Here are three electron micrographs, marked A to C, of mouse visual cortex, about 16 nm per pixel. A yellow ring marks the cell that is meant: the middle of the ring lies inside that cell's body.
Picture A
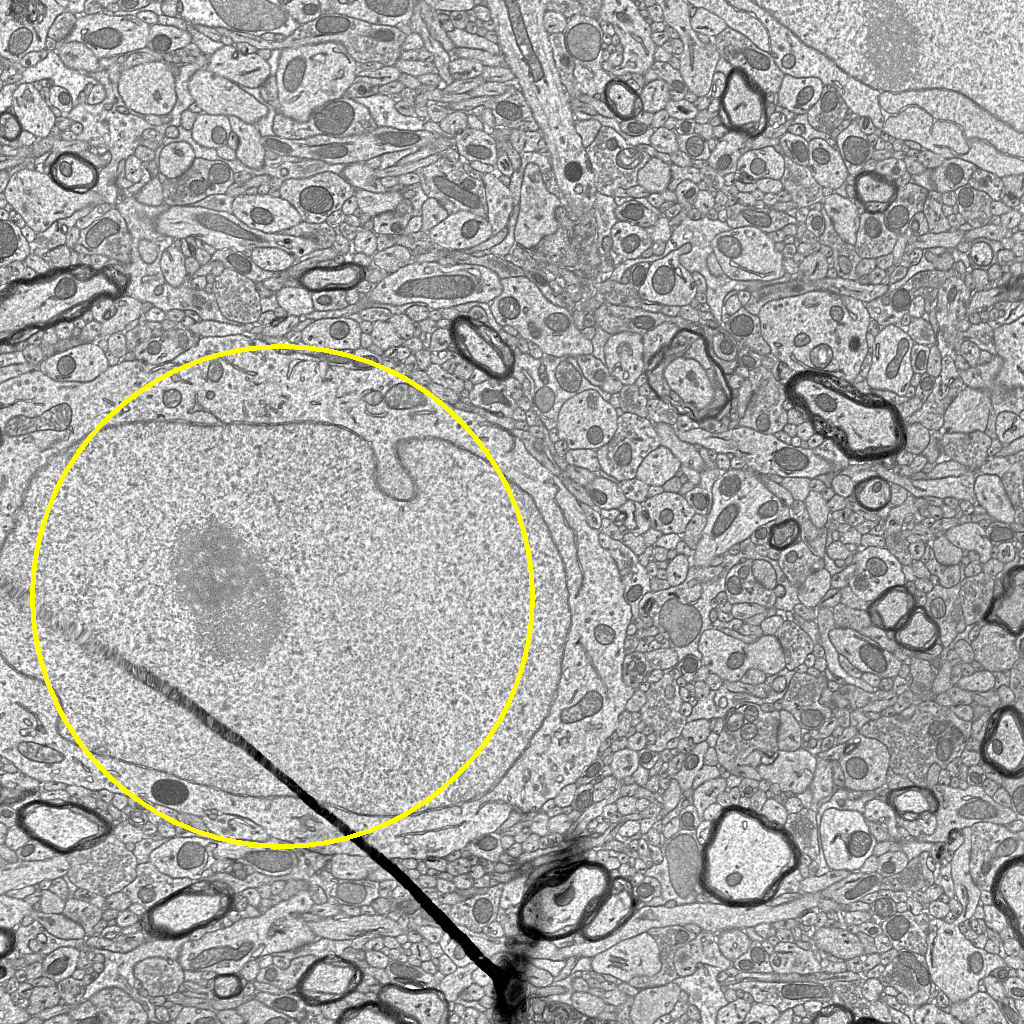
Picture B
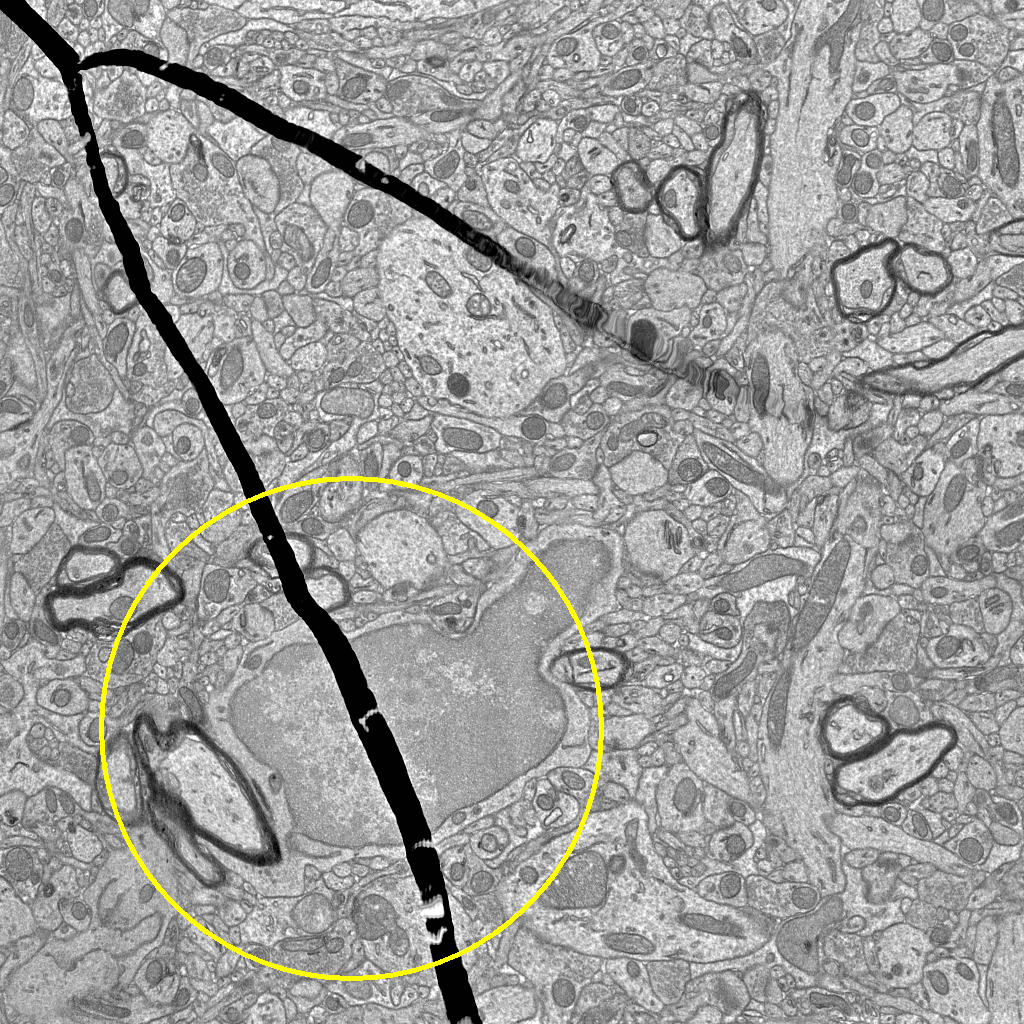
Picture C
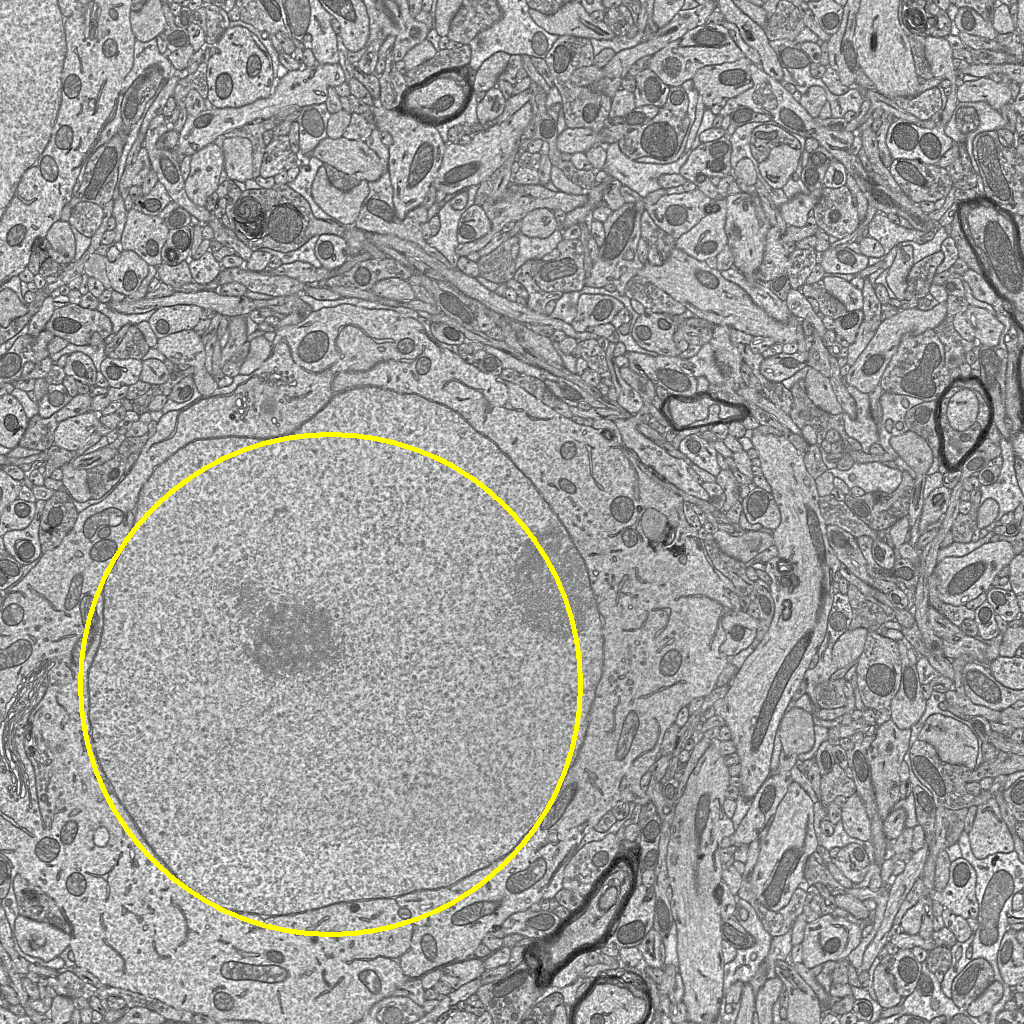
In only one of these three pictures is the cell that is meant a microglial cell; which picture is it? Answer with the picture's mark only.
B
